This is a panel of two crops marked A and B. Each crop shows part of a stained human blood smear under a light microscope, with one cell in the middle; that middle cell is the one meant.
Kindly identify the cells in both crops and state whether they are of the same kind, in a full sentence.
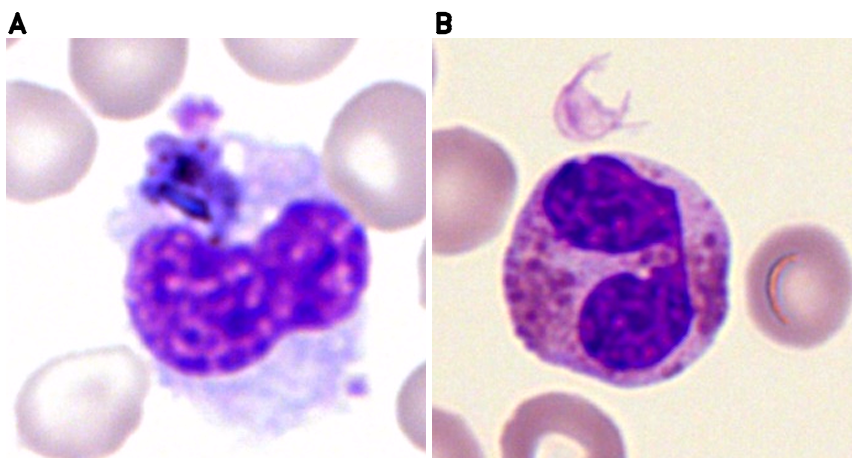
No, the cell of interest in crop A is a monocyte, and in crop B it is an eosinophil.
